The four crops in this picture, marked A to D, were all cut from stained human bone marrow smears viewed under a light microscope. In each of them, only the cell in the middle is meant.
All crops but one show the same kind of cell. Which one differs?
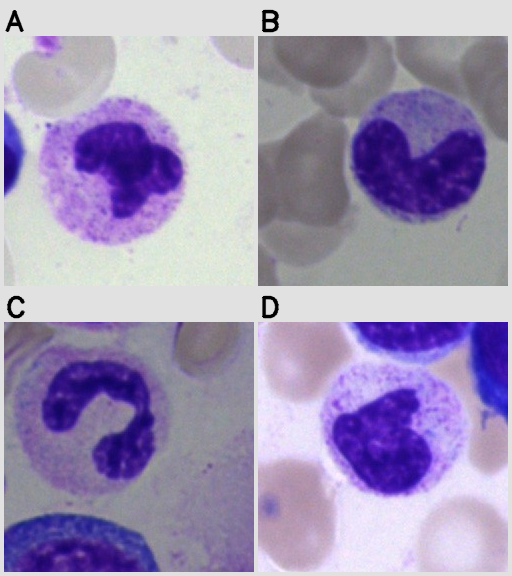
B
